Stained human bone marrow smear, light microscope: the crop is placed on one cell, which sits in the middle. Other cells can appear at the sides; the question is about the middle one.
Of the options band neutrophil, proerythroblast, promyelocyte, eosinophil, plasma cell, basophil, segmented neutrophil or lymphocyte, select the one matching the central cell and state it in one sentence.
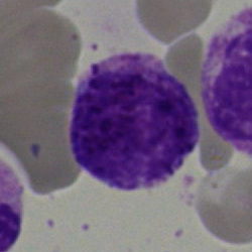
Looking at the middle of the crop, the cell there is a basophil.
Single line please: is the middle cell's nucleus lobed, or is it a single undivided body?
Have a look at the nucleus, which is one compact mass, round, oval or kidney-shaped.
